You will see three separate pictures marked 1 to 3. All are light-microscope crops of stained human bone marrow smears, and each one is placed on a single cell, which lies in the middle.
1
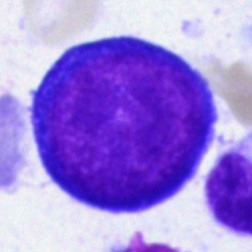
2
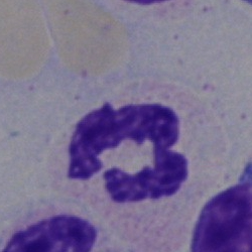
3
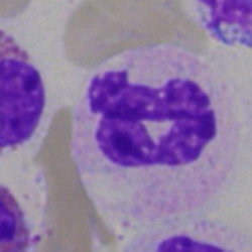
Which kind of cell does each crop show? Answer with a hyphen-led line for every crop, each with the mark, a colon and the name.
- 1: proerythroblast
- 2: segmented neutrophil
- 3: segmented neutrophil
